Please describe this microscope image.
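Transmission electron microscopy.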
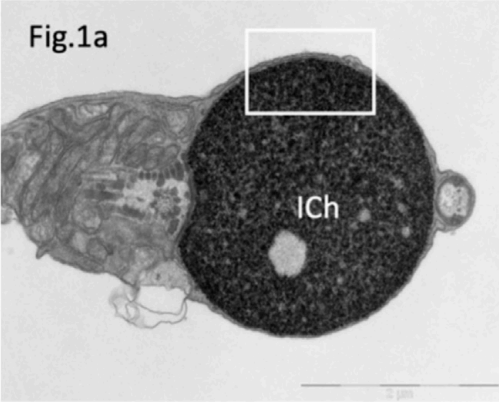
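A sperm cell is seen in section with a spherical head and no acrosome. The nucleus is almost perfectly round and filled with dark, coarsely granular chromatin, with one pale round inclusion in its lower part. A thin membrane closely follows the nuclear outline. To the left lies the midpiece, with several mitochondria in cytoplasm and a striated connecting structure where it meets the nucleus. Loose membrane folds hang below the midpiece.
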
